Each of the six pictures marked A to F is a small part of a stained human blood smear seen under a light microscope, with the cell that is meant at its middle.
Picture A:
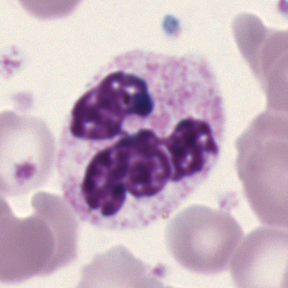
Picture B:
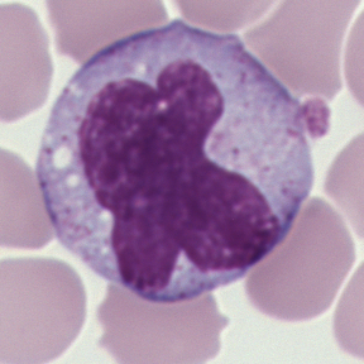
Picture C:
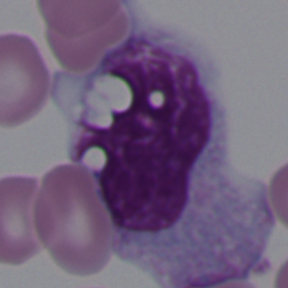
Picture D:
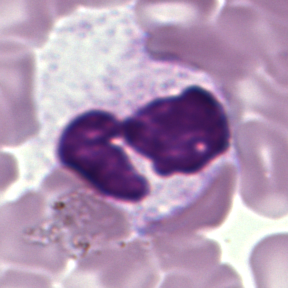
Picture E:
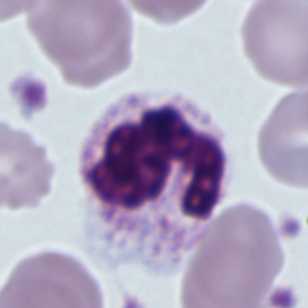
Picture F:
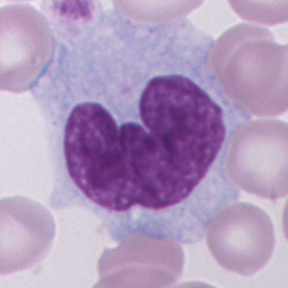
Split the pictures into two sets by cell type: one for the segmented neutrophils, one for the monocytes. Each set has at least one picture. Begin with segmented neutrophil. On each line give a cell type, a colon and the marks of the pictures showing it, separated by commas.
segmented neutrophil: A, D, E
monocyte: B, C, F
